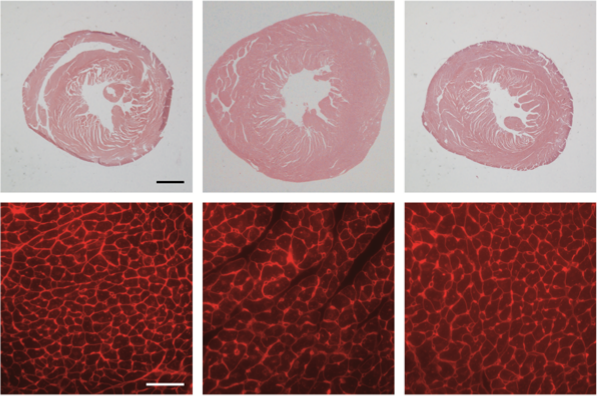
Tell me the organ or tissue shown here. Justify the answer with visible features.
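Myocardium. The top row shows whole transverse sections of a heart with a thick muscular ventricular wall around a central cavity. The bottom row shows closely packed polygonal fibre profiles outlined by red borders, as in cross-cut heart muscle.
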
